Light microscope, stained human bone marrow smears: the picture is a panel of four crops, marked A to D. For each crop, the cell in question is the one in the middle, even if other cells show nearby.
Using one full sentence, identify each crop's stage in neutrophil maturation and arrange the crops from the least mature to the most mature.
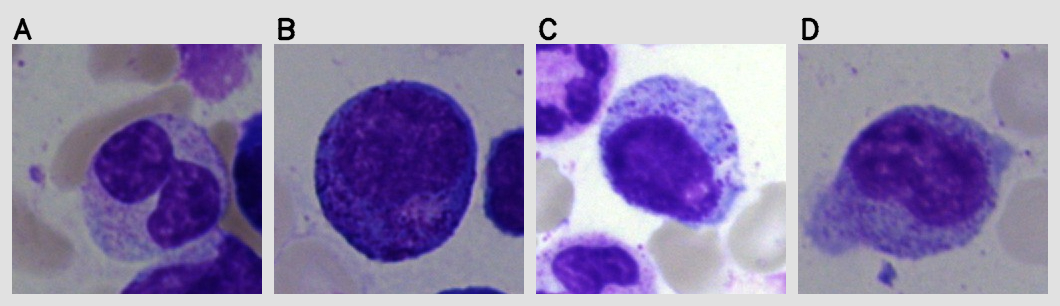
In ascending order of maturity, the sequence is crop B (a promyelocyte), crop C (a myelocyte), crop D (a metamyelocyte) and crop A (a segmented neutrophil).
